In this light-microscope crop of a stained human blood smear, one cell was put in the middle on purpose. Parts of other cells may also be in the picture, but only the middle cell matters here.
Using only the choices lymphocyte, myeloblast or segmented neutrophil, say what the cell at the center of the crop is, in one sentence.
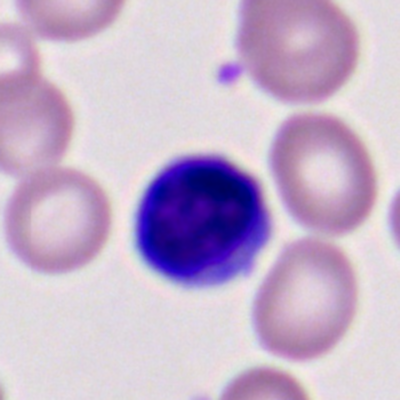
Classification of the middle cell gives a lymphocyte.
